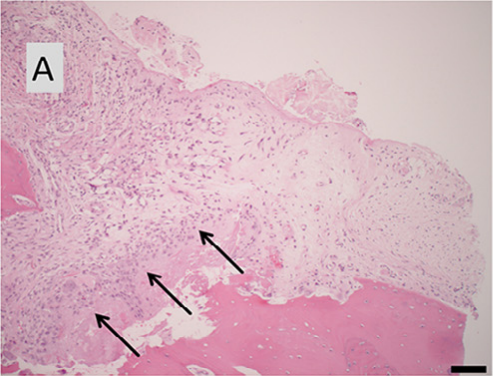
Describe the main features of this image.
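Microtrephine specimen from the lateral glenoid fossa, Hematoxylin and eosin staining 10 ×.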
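This is a section of fibrous tissue lying over a dense pink matrix, with fibrocytes and chondrocyte-like cells. The upper tissue is cellular, with many small, elongated purple nuclei in a pale pink fibrous background. Toward the border with the dense pink matrix below, cells become rounder and more crowded. The underlying pink matrix contains scattered small lacunae with cells.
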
